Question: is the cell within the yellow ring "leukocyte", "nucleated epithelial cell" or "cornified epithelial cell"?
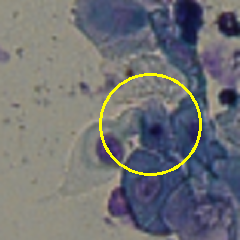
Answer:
nucleated epithelial cell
